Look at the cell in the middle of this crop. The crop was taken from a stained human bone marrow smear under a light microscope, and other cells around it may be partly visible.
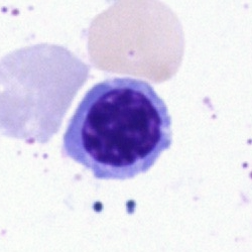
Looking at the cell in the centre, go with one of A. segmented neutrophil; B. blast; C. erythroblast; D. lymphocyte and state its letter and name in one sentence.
The central cell in this crop is an erythroblast, corresponding to option C, the correct option.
